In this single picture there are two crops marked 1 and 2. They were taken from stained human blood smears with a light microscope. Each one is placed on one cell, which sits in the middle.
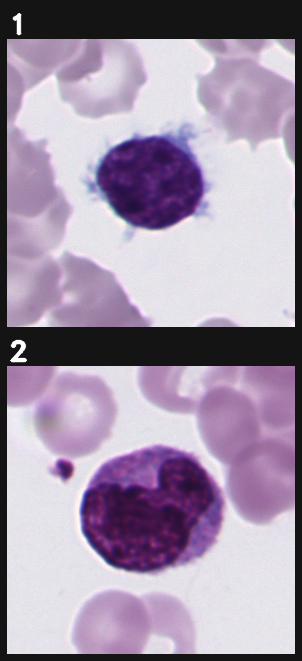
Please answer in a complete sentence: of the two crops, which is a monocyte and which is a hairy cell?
The crop marked 1 shows a hairy cell; the crop marked 2 shows a monocyte.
